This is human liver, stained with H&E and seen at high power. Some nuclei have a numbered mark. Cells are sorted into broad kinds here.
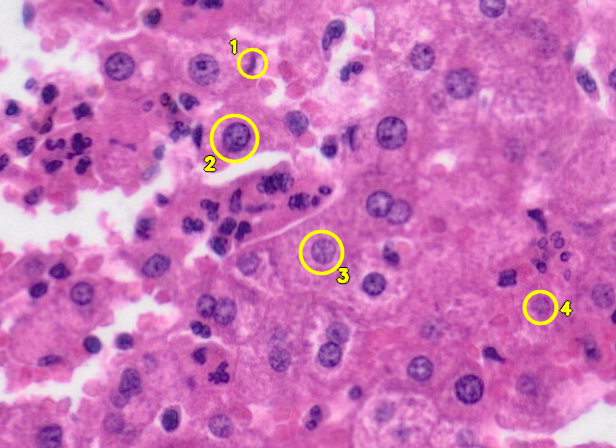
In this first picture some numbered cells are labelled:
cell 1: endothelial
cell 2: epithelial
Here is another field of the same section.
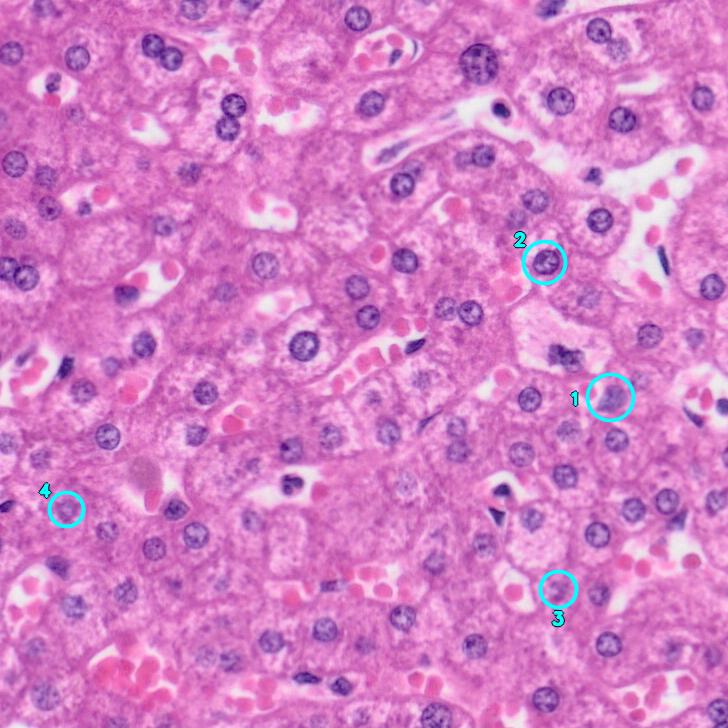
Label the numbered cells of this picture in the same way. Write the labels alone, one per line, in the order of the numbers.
endothelial
epithelial
epithelial
epithelial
